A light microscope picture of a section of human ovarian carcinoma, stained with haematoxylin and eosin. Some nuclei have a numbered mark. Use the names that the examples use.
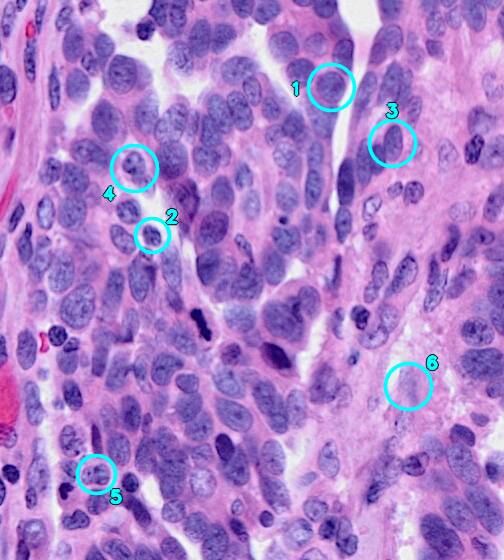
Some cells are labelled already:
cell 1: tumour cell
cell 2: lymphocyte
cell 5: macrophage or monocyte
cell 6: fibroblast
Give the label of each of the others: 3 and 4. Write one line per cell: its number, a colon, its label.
3: tumour cell
4: macrophage or monocyte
